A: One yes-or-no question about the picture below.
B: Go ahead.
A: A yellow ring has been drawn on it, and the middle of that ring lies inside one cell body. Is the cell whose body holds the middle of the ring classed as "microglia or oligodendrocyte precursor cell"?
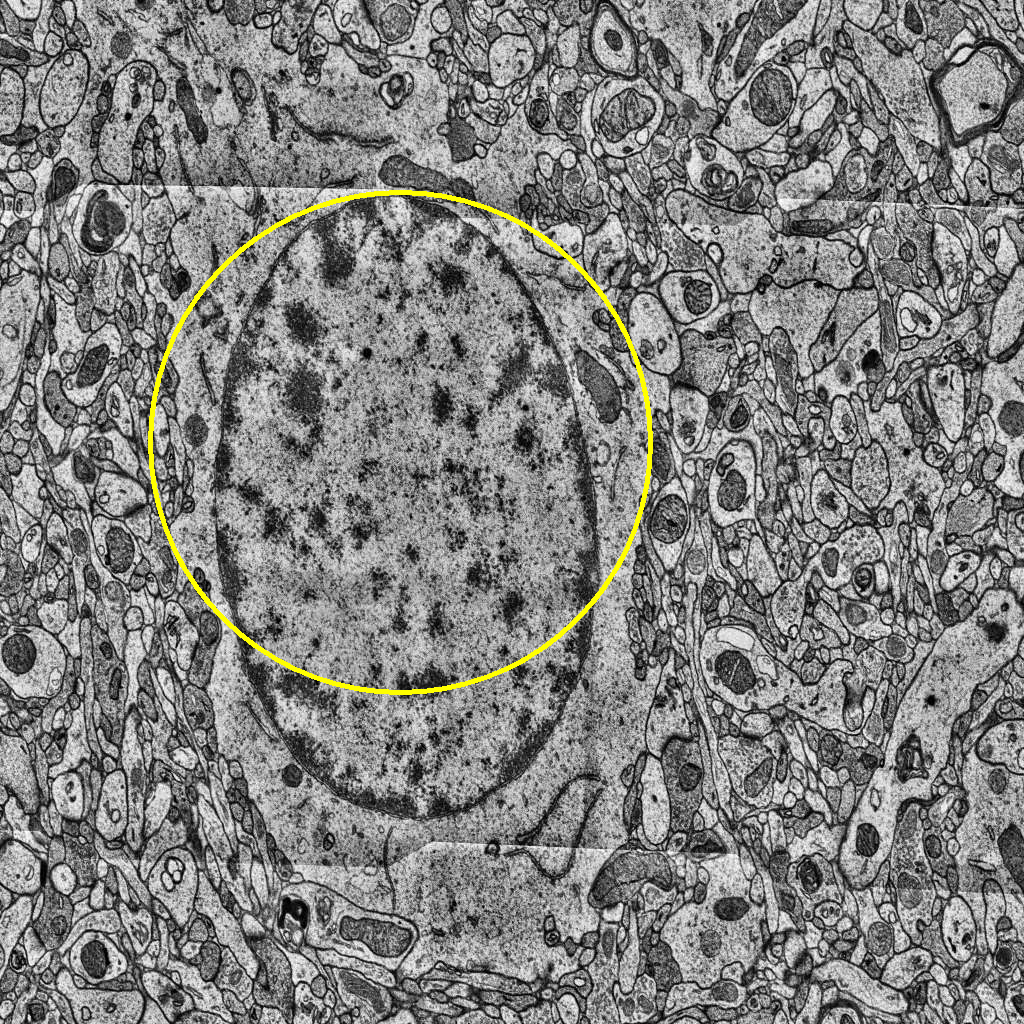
No, it is classed as another kind.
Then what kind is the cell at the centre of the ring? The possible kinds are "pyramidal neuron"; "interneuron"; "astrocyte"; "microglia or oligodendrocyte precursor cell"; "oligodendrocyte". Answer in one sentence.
The cell marked by the ring is an astrocyte.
